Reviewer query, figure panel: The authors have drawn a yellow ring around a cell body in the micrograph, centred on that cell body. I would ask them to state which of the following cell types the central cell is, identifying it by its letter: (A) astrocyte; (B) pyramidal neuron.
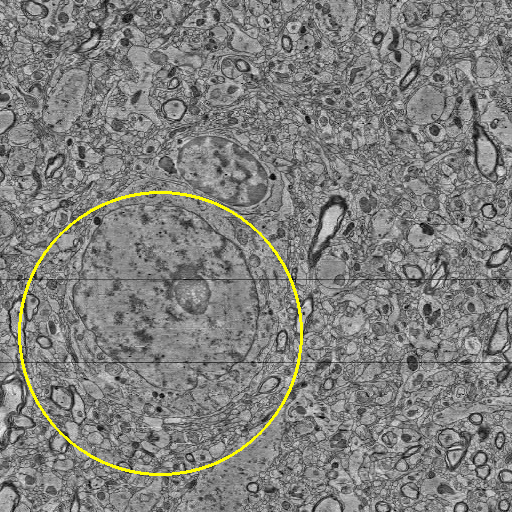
B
